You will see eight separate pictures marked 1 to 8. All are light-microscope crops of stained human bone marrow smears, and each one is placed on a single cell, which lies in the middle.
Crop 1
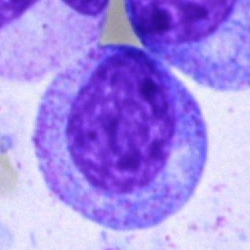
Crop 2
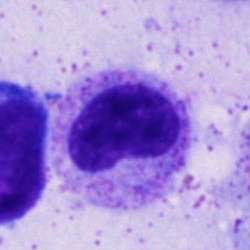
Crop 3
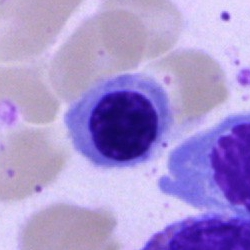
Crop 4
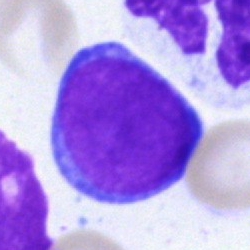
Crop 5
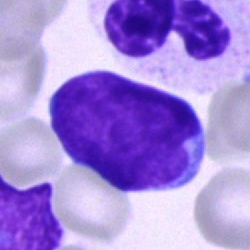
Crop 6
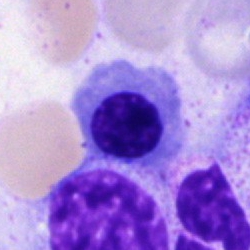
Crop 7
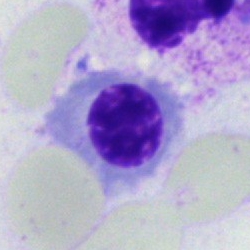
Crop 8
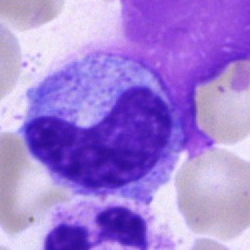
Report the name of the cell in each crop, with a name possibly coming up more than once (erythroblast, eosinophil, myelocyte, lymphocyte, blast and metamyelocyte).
1: myelocyte
2: metamyelocyte
3: erythroblast
4: blast
5: blast
6: erythroblast
7: erythroblast
8: metamyelocyte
